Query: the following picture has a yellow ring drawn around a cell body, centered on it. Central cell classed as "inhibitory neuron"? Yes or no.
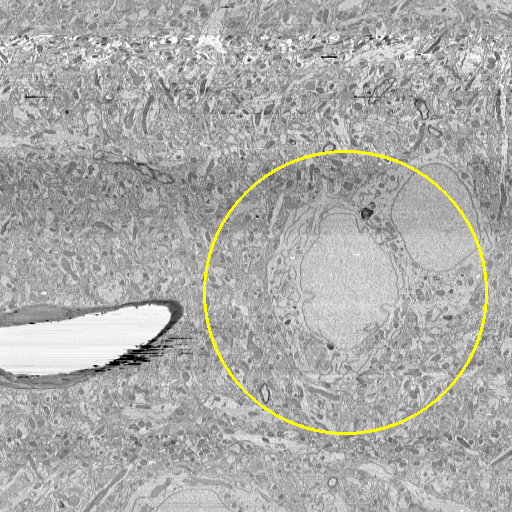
yes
